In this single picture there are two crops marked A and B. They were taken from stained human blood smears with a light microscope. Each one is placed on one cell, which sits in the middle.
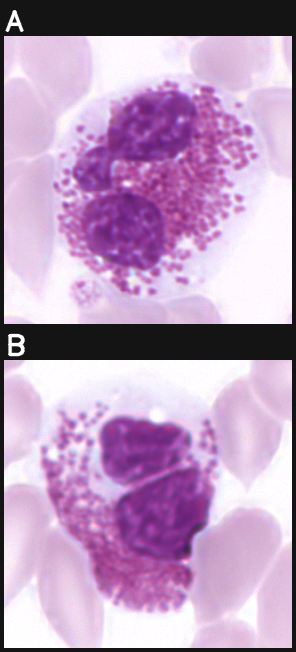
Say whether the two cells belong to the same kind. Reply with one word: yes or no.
yes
